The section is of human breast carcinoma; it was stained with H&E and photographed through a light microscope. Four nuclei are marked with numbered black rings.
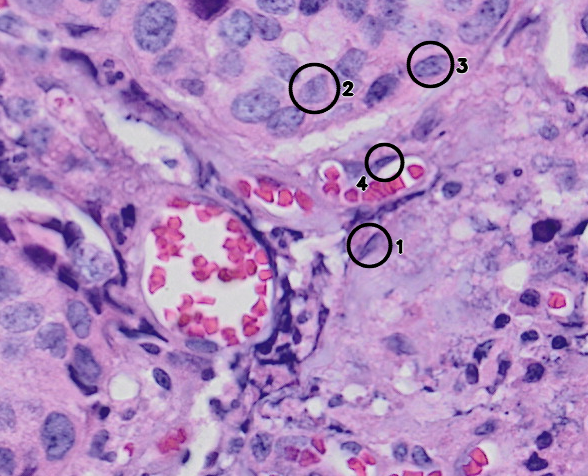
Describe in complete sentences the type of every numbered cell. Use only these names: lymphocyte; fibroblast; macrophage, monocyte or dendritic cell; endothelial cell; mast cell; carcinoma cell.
Cell 1 is a fibroblast, cell 2 is a carcinoma cell, cell 3 is a carcinoma cell and cell 4 is an endothelial cell.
